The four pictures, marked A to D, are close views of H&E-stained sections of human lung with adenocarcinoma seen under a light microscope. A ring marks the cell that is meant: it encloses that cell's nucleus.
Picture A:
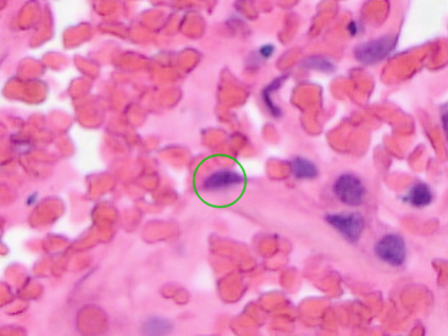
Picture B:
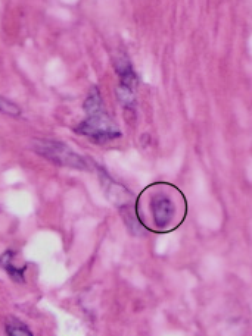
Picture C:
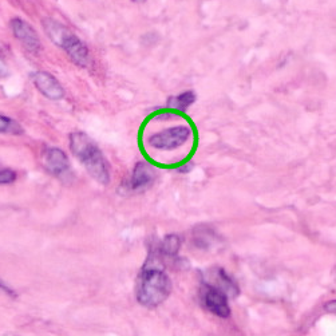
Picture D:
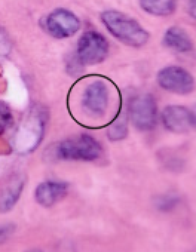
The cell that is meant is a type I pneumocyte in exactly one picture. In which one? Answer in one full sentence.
The picture with the type I pneumocyte is A.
